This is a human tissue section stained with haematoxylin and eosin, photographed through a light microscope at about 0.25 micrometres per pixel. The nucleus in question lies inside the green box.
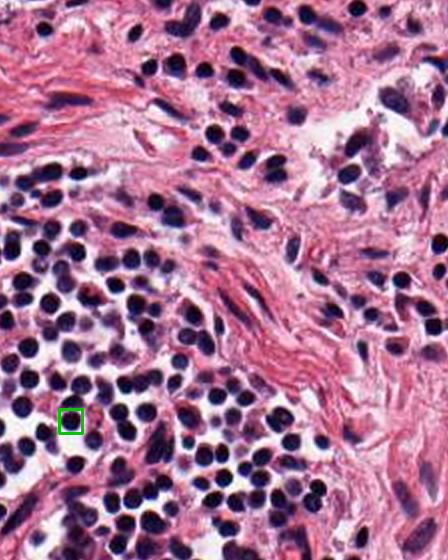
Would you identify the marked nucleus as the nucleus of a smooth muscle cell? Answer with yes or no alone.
no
